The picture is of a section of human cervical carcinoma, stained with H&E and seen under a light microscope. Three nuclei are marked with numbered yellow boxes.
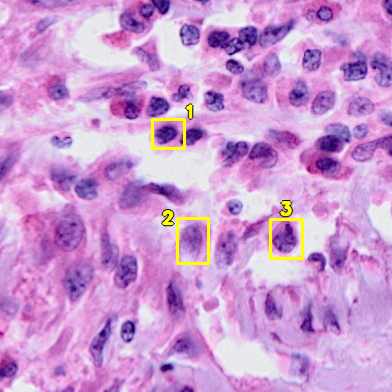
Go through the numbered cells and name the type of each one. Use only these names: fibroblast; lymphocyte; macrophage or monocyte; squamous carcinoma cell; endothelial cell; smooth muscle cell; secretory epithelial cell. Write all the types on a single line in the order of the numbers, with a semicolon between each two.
lymphocyte; fibroblast; macrophage or monocyte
